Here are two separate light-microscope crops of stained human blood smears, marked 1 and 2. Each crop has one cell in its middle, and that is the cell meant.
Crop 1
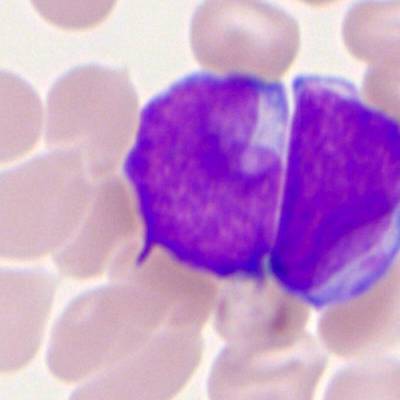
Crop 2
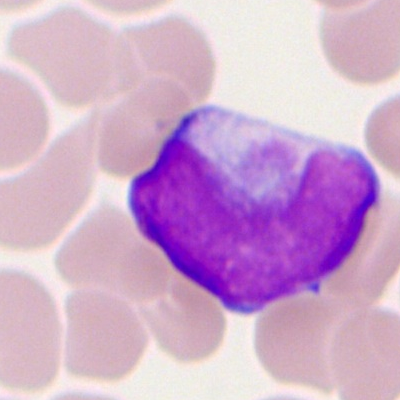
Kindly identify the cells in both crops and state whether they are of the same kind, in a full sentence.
Yes, both crops in the pair show myeloblasts.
